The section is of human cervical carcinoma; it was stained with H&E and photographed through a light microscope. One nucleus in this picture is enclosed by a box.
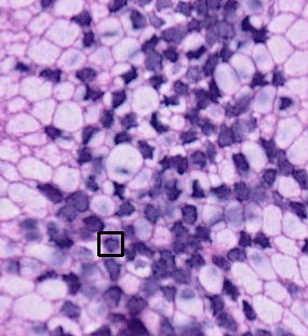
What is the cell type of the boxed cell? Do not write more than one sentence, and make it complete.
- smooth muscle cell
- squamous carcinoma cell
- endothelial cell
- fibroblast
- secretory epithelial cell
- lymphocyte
Placed in its cell category, the boxed cell is a secretory epithelial cell.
